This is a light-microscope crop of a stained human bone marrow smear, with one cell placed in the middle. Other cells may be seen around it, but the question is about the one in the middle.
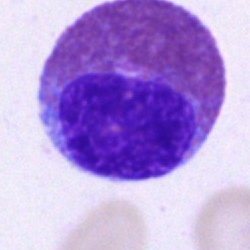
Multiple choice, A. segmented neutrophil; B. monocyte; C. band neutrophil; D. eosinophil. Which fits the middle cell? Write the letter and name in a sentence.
The middle cell of the crop is an eosinophil; accordingly, option D is correct.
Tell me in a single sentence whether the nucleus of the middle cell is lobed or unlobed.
See how the nucleus sits as one compact round, oval or kidney-shaped mass.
